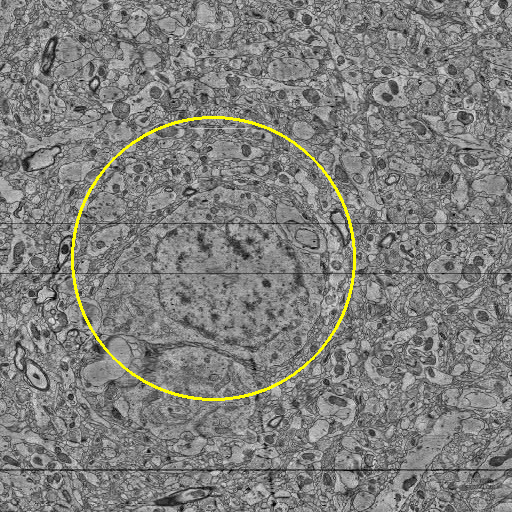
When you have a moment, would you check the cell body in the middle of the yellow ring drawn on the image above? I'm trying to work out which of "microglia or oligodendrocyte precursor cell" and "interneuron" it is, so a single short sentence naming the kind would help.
This cell body belongs to an interneuron.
